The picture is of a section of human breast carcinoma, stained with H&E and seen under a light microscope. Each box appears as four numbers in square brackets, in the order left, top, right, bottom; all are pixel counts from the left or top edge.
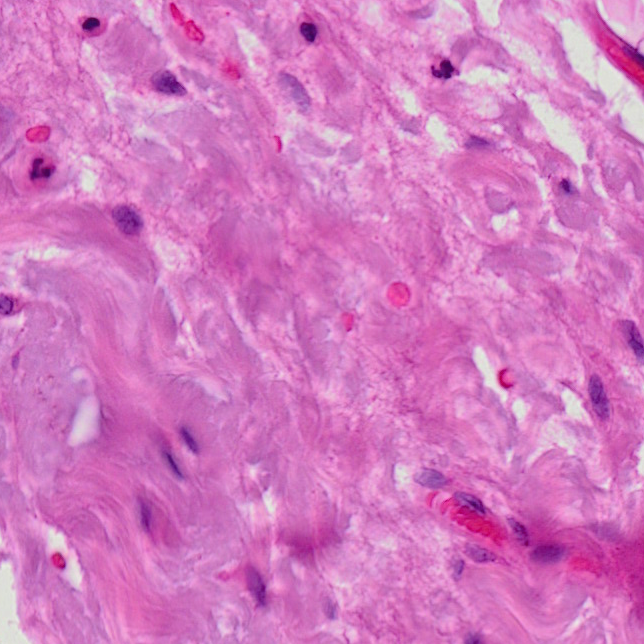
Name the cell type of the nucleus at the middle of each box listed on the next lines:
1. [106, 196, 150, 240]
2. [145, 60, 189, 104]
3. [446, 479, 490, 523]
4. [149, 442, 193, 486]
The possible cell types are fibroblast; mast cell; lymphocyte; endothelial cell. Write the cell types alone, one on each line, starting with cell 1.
fibroblast
fibroblast
endothelial cell
fibroblast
